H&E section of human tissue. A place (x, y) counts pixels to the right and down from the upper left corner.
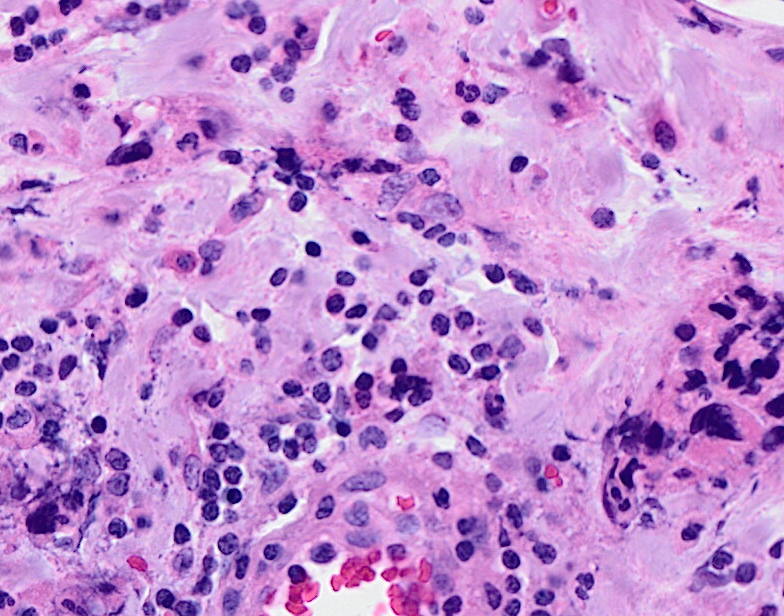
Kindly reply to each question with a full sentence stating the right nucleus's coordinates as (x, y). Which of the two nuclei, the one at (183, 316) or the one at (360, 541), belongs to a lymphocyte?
Of the two, the nucleus lying at (183, 316) is the one belonging to a lymphocyte.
